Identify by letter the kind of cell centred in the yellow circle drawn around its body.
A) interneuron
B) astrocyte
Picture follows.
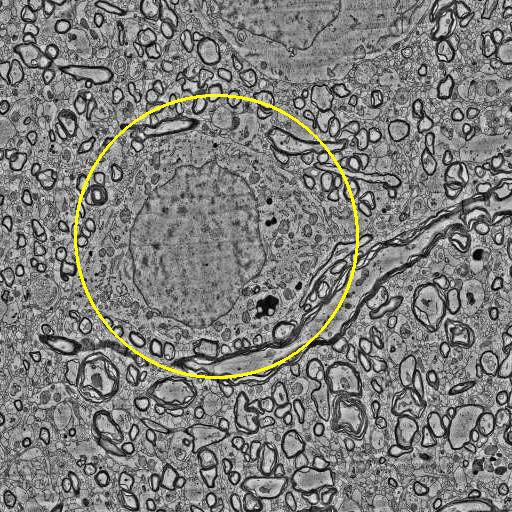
A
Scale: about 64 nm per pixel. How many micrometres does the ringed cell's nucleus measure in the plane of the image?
Approximately 11 x 9 micrometres in this plane.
